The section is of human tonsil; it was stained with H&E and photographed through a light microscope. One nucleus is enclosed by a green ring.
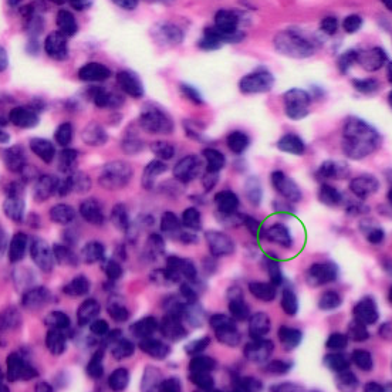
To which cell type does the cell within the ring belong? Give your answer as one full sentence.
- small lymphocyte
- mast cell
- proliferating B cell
In the stained section, the cell within the ring is a small lymphocyte.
